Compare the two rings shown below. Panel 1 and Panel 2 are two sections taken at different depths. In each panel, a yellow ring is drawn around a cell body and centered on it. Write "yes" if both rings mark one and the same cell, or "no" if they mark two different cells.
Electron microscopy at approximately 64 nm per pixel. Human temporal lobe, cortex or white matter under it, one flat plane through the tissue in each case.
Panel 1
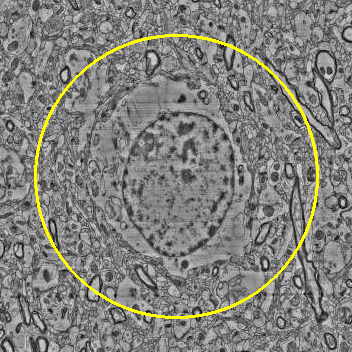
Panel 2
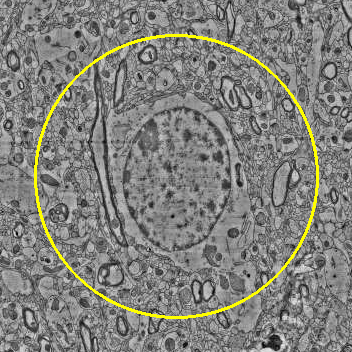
yes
